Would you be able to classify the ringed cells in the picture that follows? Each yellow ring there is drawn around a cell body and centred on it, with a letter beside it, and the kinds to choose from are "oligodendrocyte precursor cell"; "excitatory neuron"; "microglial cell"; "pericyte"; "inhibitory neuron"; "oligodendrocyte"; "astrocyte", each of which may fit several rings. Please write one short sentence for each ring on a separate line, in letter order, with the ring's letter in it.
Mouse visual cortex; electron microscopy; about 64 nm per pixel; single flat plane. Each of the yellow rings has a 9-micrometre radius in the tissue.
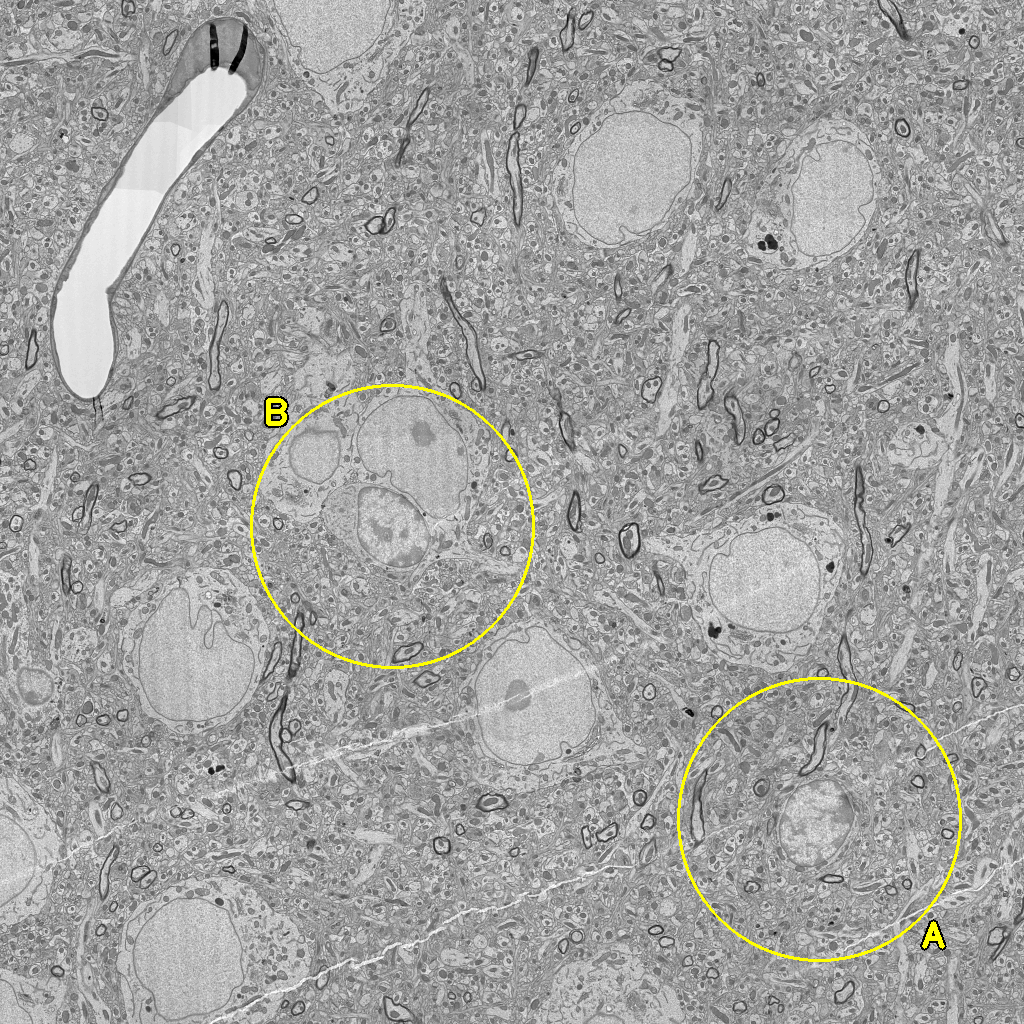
The cell body at the centre of ring A belongs to an oligodendrocyte.
The cell body at the centre of ring B belongs to an oligodendrocyte.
